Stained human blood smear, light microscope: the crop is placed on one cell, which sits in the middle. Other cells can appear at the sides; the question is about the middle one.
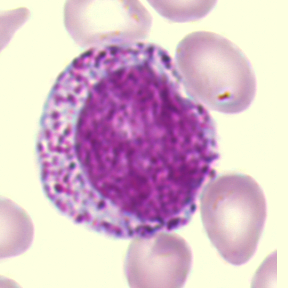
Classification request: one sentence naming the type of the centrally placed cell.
Looking at the middle of the crop, the cell there is a myelocyte.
